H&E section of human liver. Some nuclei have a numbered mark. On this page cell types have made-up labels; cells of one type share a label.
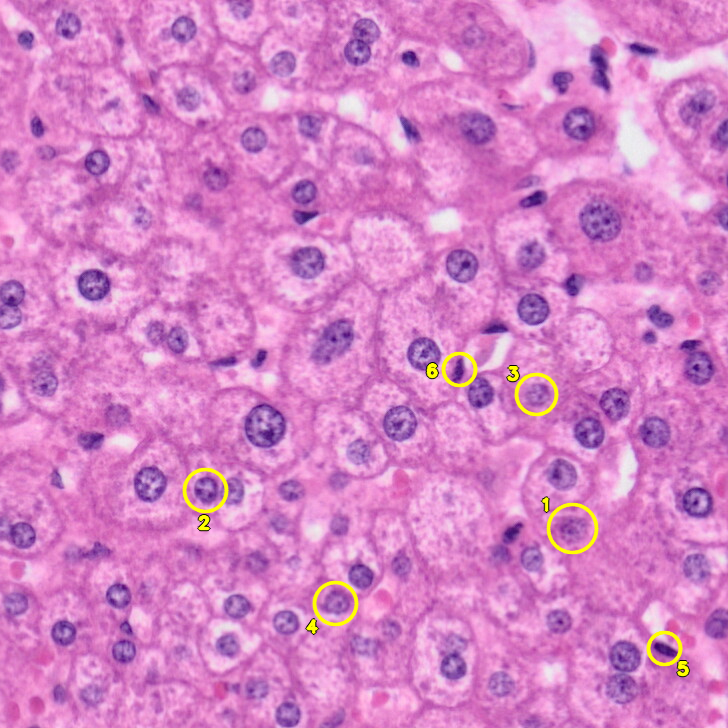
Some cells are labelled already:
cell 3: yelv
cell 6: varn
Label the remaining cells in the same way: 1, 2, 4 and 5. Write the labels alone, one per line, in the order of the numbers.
yelv
yelv
yelv
varn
